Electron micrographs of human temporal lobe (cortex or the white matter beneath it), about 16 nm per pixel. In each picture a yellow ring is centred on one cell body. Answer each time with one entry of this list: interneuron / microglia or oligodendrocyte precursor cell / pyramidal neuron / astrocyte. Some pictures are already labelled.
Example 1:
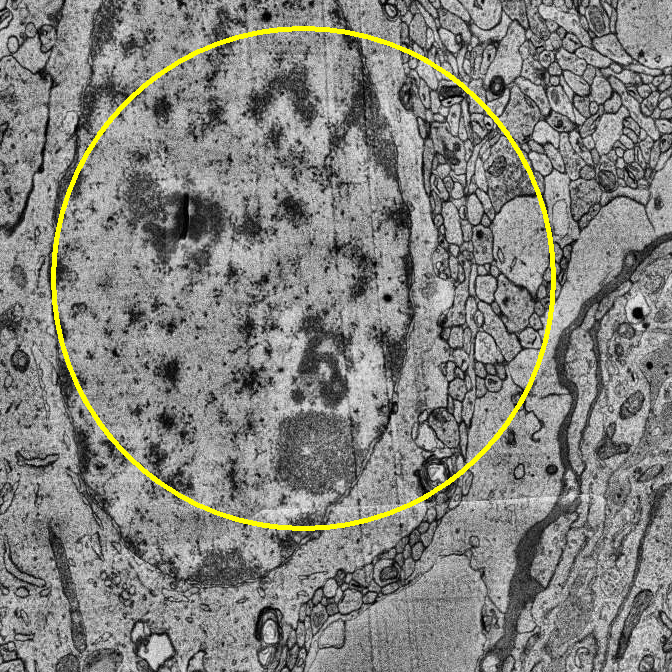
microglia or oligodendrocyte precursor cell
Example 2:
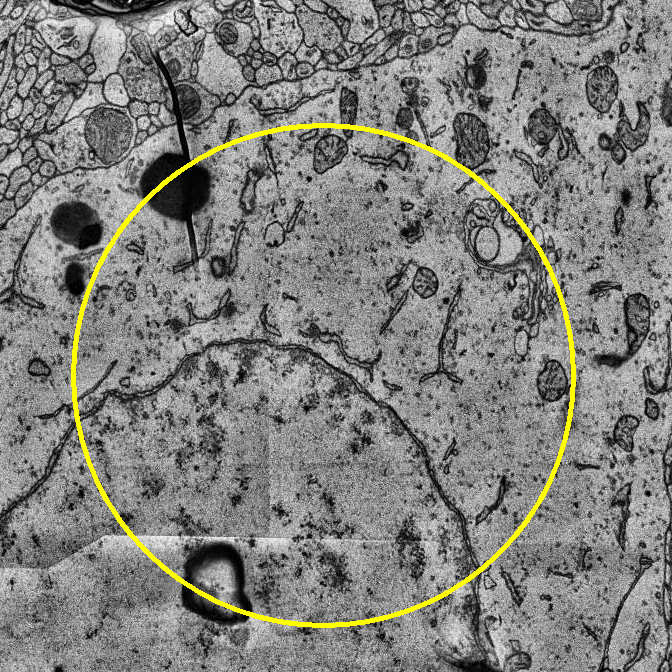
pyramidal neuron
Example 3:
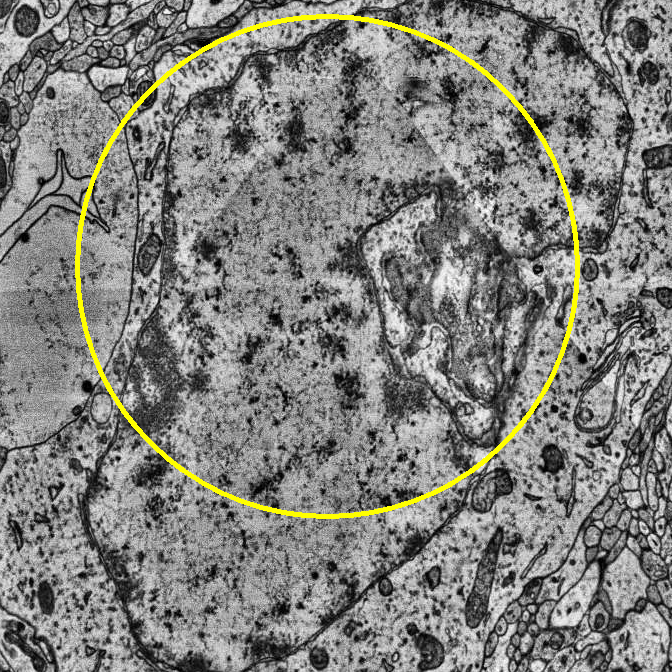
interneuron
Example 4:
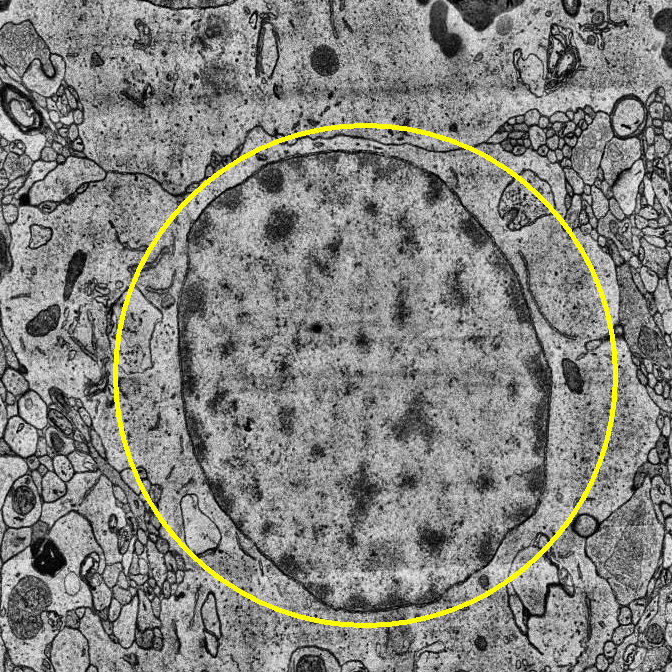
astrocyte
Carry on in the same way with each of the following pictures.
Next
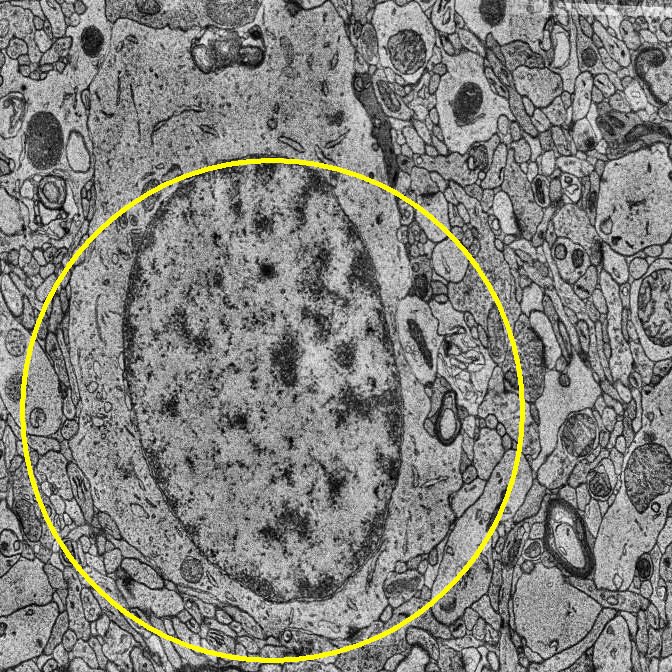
microglia or oligodendrocyte precursor cell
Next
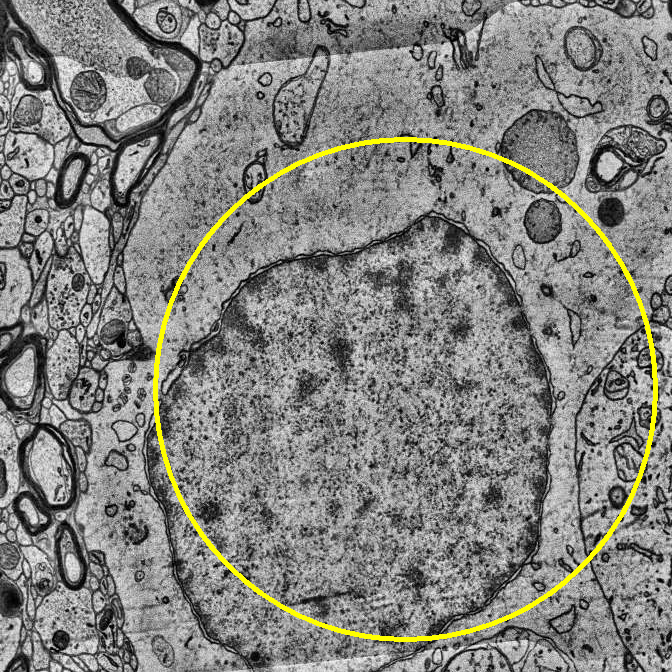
astrocyte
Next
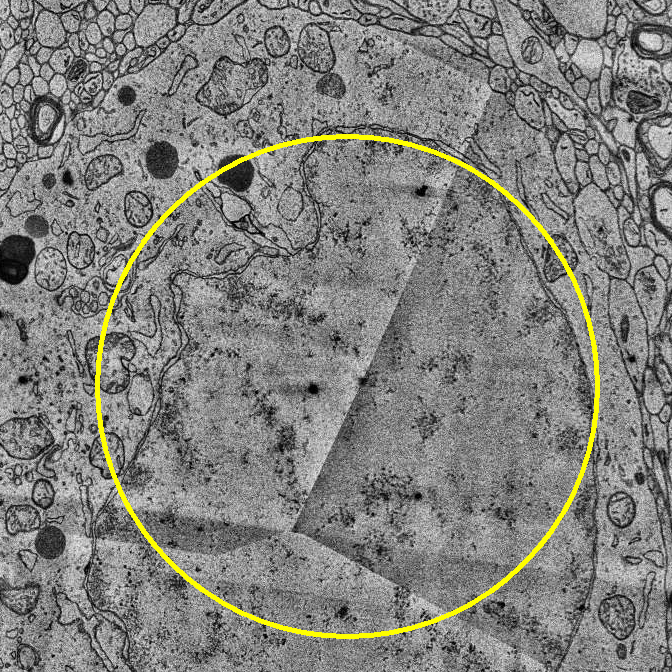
interneuron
